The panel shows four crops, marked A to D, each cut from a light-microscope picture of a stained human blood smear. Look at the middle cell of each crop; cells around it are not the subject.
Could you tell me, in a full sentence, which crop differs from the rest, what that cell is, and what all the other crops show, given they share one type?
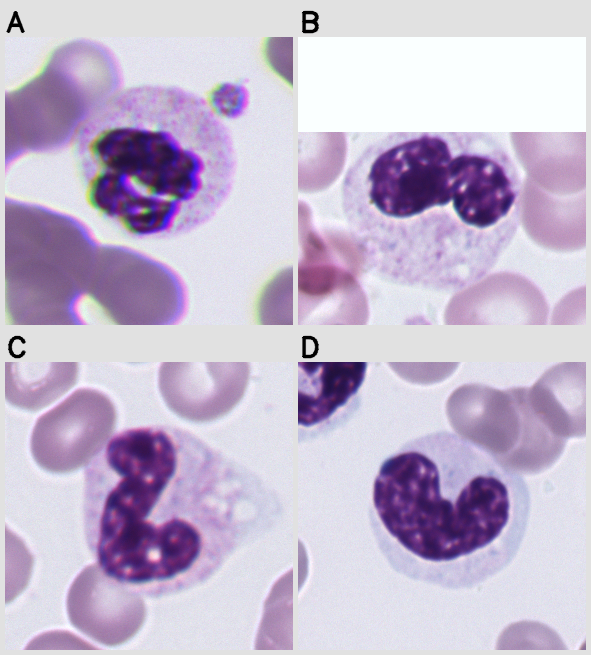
In every crop except crop D, which shows a band neutrophil, segmented neutrophils are shown.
